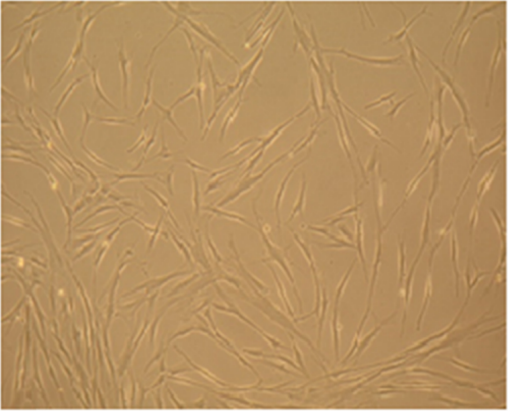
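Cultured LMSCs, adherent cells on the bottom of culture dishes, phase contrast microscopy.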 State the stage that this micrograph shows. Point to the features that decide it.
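Cells are elongated and spindle-shaped. Many cells taper into long processes at both ends. Cells lie flat and spread out, partly in parallel streams.
Hence: morphologic features similar to fibroblasts.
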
